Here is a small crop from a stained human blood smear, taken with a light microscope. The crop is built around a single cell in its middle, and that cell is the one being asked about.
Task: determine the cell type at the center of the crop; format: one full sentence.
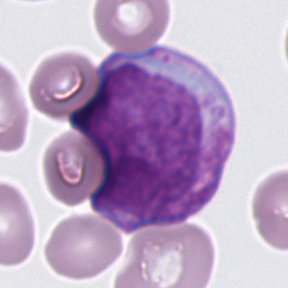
The middle of this crop is occupied by an atypical promyelocyte.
